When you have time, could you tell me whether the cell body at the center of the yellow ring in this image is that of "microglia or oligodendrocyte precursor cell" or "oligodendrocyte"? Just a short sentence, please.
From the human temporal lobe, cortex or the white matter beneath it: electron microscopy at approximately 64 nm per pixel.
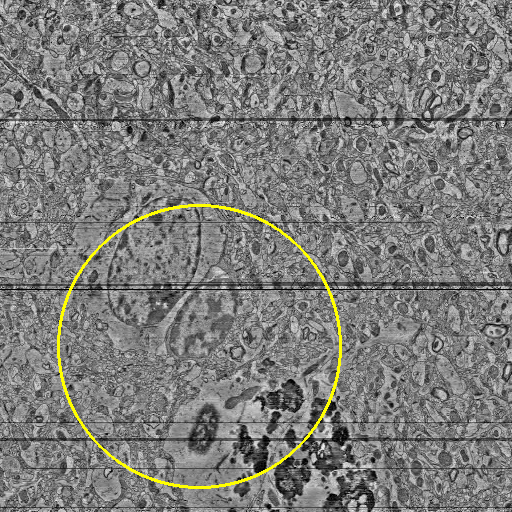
The cell body at the center of the ring is that of an oligodendrocyte.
